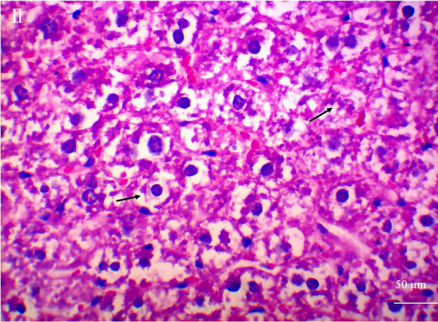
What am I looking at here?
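Liver with hepatocytes that are swollen and have pale, foamy, vacuolated cytoplasm. Round nuclei of differing size sit in the middle of the cells, some small and dark. The plates of cells are broken up and the boundaries between cells are unclear.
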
